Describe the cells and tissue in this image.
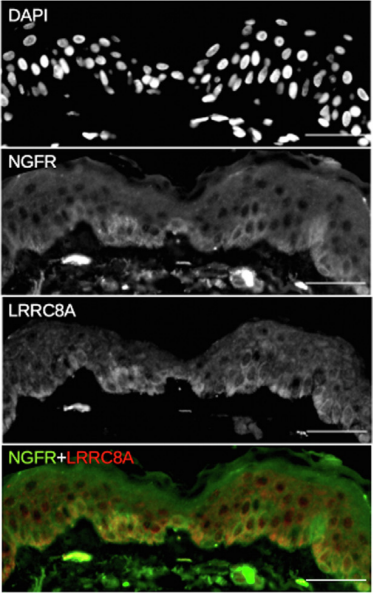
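This is a section of skin showing the epidermis as a thick undulating band of stacked keratinocytes over the looser dermis. In the nuclear channel the epidermal nuclei are crowded and oval, several cells deep, while the dermis below holds only a few scattered, flattened or elongated nuclei. Some bright, irregular spots lie in the dermis beneath. In the overlay the epidermis appears a mix of green and red-orange, and the dermis is mostly green with bright green patches.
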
